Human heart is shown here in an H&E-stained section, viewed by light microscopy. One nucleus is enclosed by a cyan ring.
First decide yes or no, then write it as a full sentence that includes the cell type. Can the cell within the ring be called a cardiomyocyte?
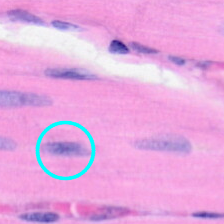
No, the cell within the ring is typed as an endothelial cell rather than as a cardiomyocyte.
